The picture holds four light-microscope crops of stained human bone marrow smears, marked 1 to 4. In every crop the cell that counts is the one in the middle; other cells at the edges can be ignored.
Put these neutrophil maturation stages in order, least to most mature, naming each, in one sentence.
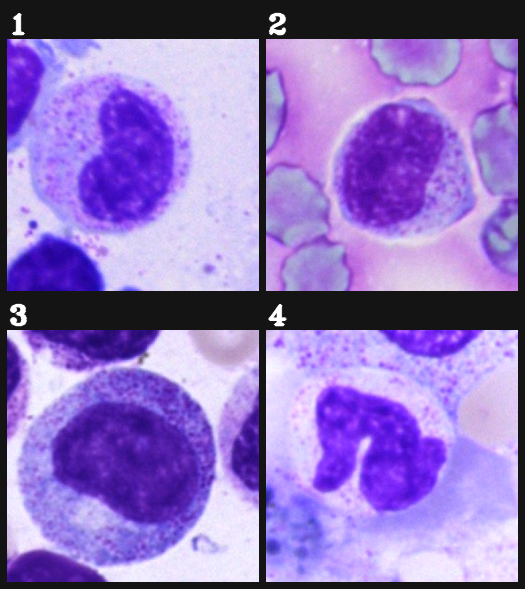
Arranged by increasing maturity, the crops are crop 3 (a promyelocyte), crop 2 (a myelocyte), crop 1 (a metamyelocyte) and crop 4 (a band neutrophil).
